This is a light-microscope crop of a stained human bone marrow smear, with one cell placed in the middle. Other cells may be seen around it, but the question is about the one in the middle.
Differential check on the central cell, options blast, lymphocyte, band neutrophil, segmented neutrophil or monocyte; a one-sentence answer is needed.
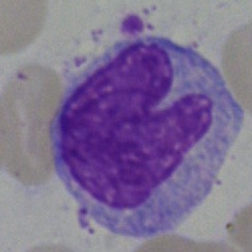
The middle cell in this particular crop is a monocyte.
